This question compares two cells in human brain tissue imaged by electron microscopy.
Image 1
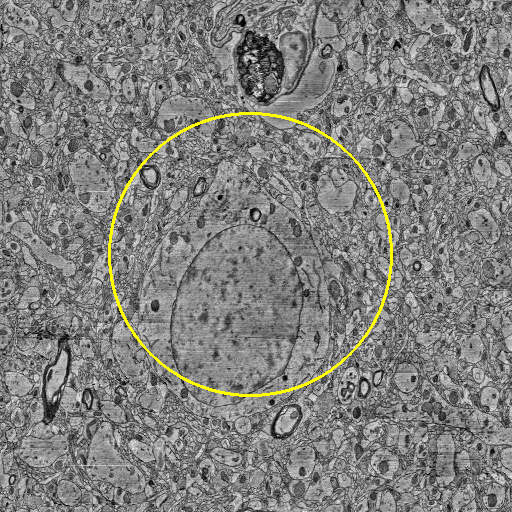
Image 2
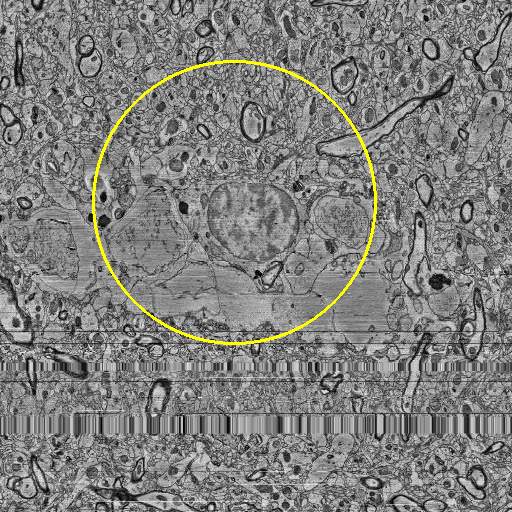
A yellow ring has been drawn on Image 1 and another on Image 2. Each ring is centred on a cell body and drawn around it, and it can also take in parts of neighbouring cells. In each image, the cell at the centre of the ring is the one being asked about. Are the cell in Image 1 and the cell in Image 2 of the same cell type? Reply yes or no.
no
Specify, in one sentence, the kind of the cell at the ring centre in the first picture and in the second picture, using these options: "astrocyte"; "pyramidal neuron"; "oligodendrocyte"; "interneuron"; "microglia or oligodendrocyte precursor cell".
So the first is a pyramidal neuron, the second an oligodendrocyte.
